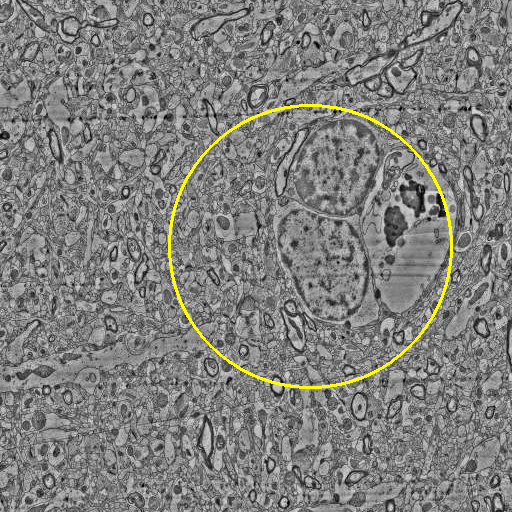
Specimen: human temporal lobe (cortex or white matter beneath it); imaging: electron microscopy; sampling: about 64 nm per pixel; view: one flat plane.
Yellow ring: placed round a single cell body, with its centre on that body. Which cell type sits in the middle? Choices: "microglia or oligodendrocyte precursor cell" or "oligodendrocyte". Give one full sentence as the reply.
It is a microglial cell or oligodendrocyte precursor cell whose cell body sits at the centre of the yellow ring.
